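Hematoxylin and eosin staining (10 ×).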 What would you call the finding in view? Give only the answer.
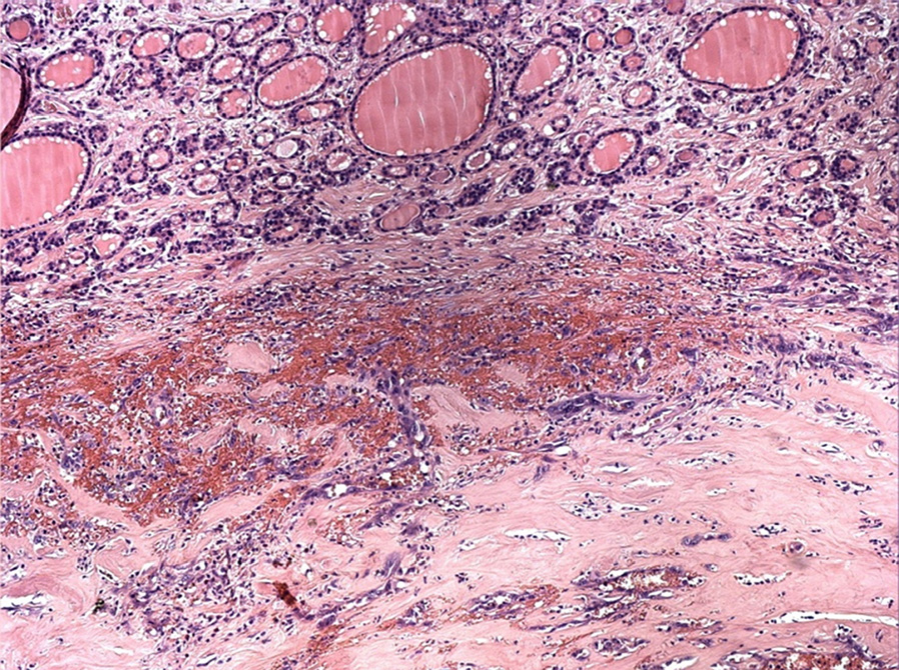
Hemorrhages.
